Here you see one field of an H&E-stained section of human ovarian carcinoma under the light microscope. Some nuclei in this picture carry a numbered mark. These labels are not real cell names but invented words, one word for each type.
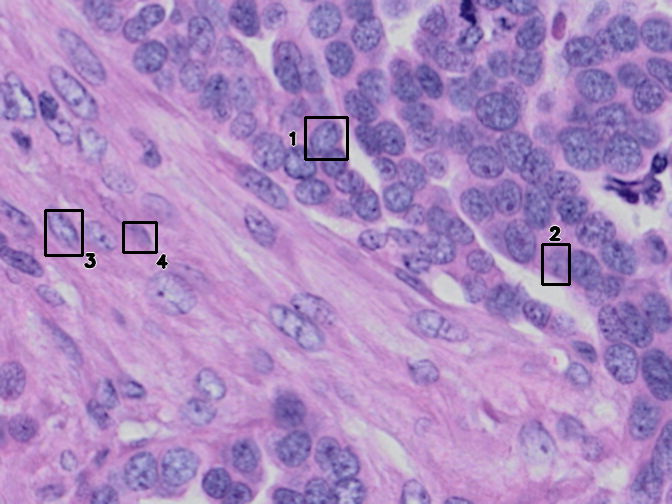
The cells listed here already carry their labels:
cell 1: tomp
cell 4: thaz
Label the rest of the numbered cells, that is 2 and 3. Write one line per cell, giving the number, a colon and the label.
2: tomp
3: thaz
